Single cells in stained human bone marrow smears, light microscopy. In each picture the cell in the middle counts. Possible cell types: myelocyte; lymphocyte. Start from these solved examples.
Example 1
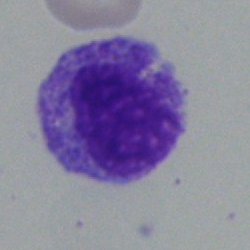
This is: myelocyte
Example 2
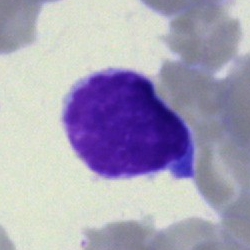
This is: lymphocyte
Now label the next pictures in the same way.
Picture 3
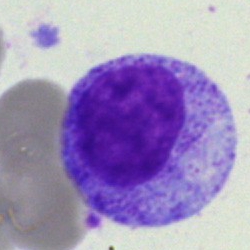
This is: myelocyte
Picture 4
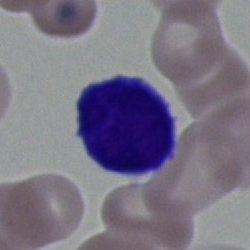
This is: lymphocyte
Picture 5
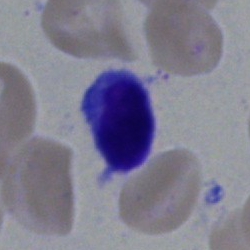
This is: lymphocyte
